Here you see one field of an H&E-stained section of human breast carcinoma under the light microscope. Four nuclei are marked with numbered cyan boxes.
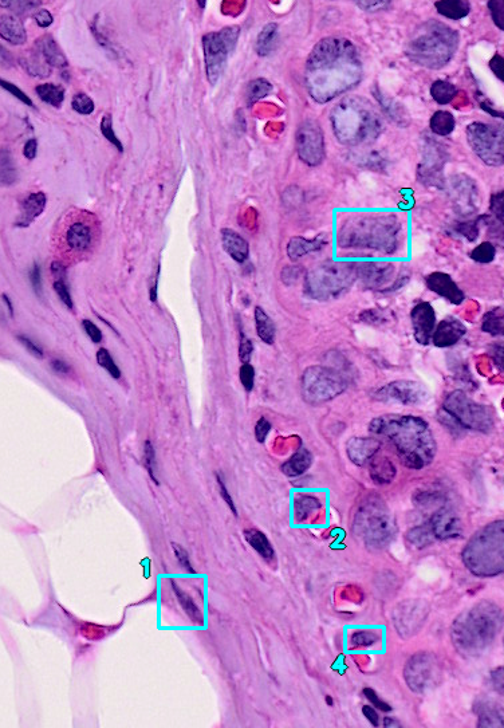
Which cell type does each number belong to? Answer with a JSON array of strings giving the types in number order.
["fibroblast", "endothelial cell", "carcinoma cell", "endothelial cell"]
